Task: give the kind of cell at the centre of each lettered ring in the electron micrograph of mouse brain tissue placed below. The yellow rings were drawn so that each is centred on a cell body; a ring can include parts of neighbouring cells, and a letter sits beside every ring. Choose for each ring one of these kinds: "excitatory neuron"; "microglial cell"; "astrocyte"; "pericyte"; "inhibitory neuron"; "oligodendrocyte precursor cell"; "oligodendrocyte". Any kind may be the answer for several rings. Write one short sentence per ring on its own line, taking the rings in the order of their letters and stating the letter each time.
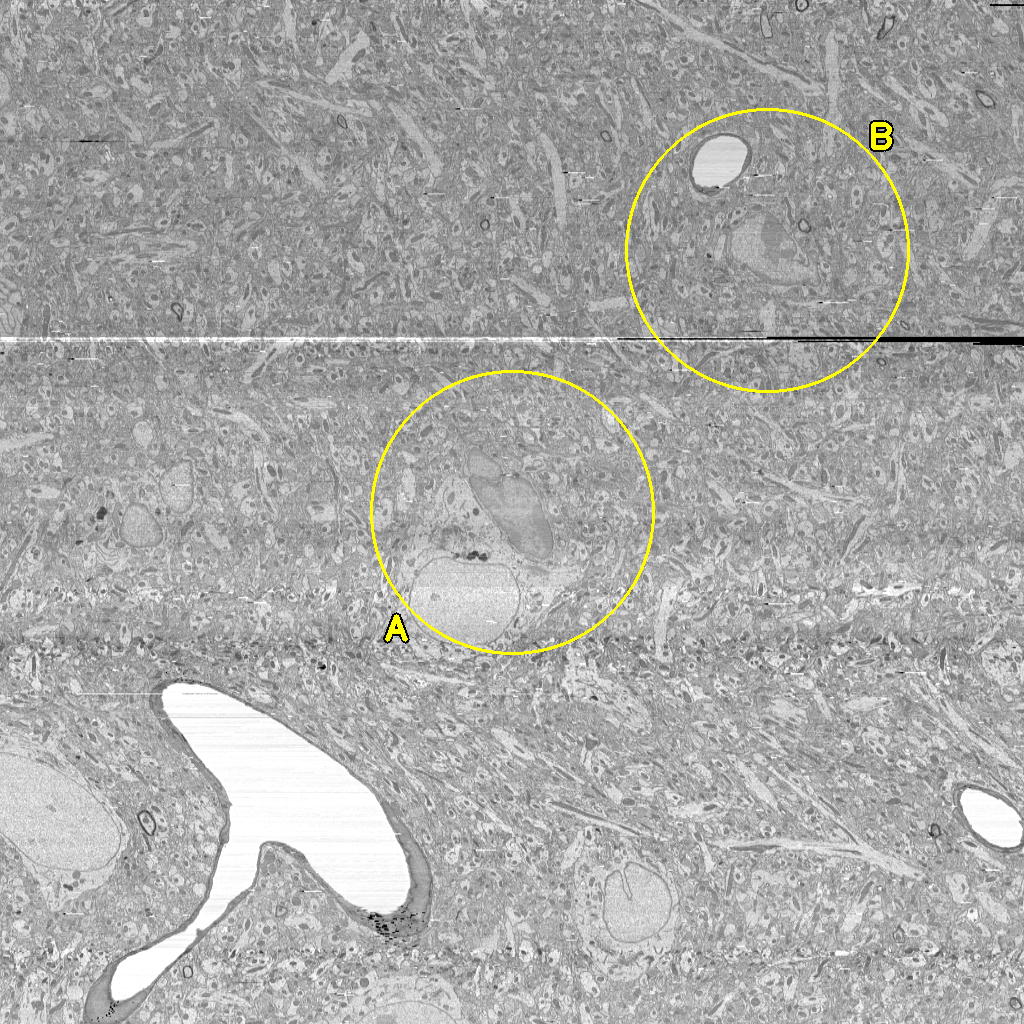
The yellow ring marked A surrounds a microglial cell.
The yellow ring marked B surrounds an oligodendrocyte precursor cell.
